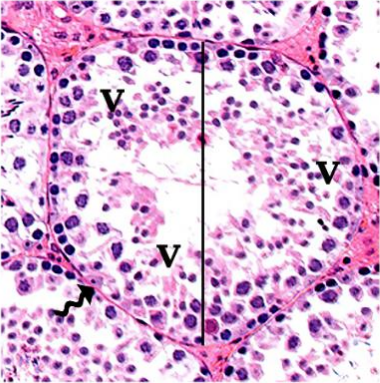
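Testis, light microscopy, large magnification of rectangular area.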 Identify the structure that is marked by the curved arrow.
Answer: basement membrane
